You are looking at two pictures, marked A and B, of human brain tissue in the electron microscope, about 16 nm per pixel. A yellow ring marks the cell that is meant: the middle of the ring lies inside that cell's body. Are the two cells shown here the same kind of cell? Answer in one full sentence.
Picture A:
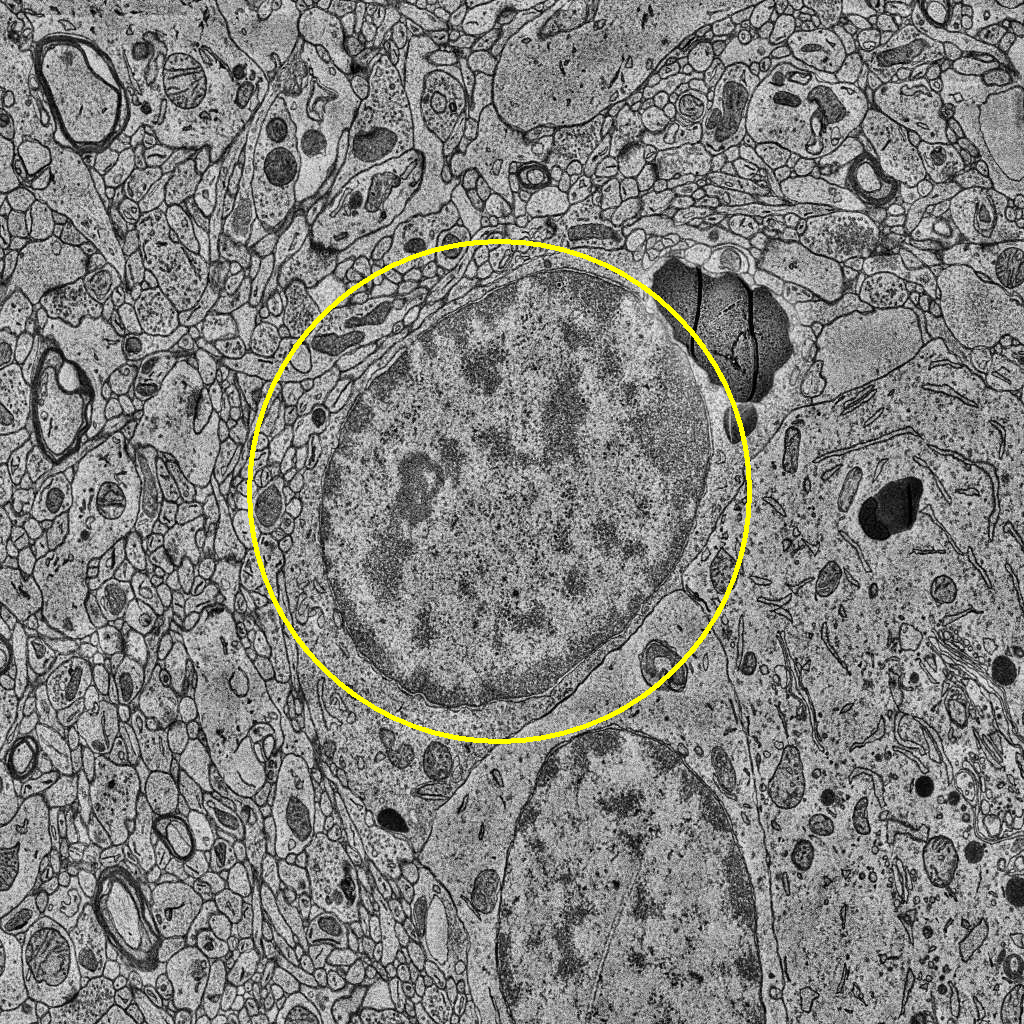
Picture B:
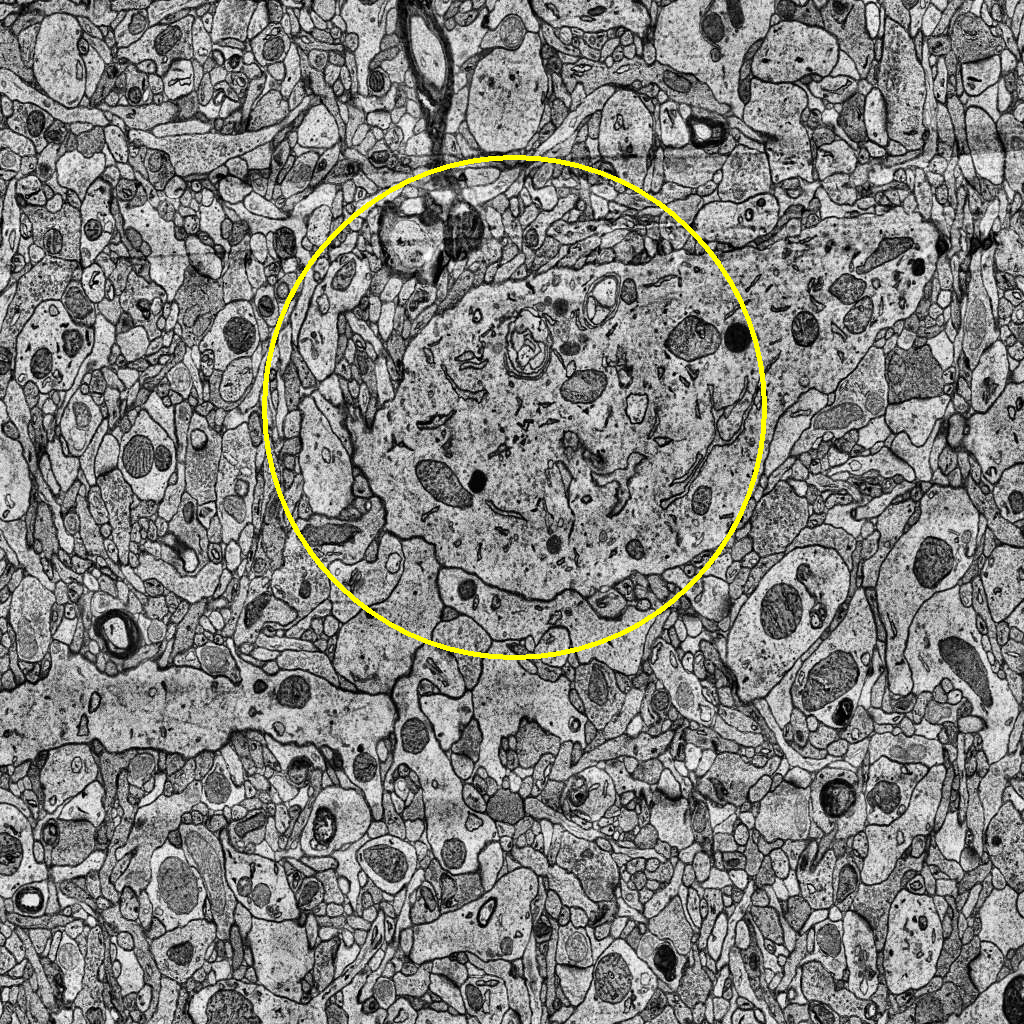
No; the cell in picture A is an oligodendrocyte, while the one in picture B is an interneuron.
